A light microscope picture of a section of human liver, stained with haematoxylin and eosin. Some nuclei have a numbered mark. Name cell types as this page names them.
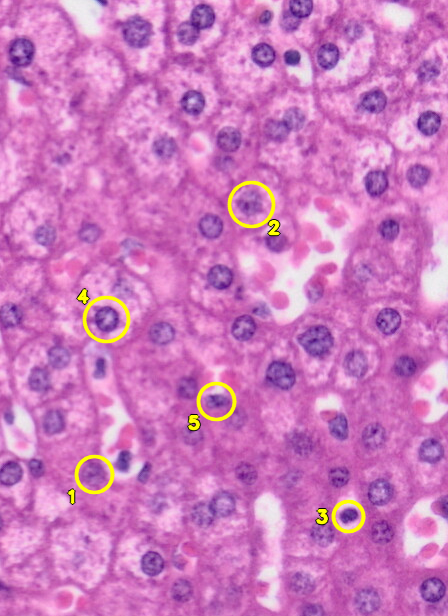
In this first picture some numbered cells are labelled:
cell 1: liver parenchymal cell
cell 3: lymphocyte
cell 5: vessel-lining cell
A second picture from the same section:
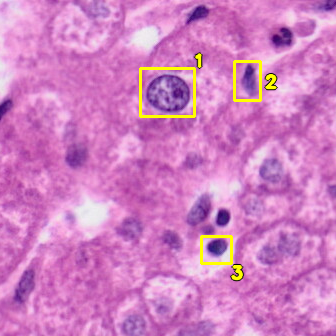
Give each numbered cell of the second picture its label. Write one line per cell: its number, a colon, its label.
1: liver parenchymal cell
2: vessel-lining cell
3: lymphocyte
